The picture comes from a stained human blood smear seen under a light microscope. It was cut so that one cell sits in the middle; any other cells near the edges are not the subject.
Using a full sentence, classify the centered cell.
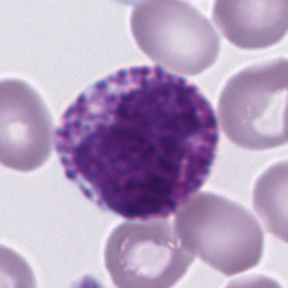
This crop is built around a basophil at its centre.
